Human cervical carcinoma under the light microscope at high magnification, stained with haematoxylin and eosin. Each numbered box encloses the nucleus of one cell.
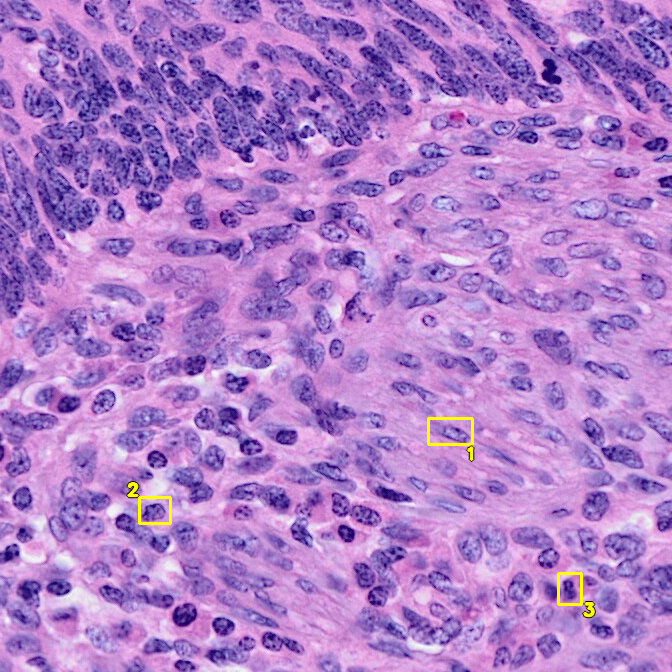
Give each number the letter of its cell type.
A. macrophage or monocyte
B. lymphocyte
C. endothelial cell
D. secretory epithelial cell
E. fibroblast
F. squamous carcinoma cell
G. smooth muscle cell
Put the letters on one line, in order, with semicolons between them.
G; B; B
